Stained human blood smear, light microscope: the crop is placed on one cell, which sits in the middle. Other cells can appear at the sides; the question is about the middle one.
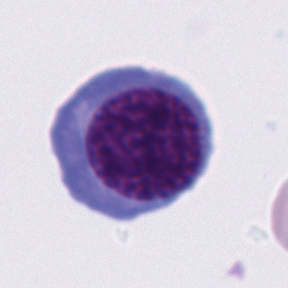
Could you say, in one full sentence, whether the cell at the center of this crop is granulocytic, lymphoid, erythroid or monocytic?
The cell centered in the crop is included in the erythroid lineage.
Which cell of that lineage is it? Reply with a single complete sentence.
In the crop, the cell of interest at the centre is a normoblast.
